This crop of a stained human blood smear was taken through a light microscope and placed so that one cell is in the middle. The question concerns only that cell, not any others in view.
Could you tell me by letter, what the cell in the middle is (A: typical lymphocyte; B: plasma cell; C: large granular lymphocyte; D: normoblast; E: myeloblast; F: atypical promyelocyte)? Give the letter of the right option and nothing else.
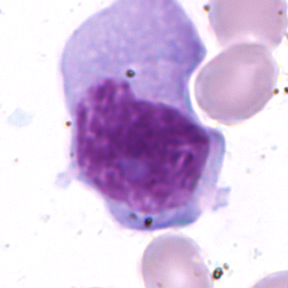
B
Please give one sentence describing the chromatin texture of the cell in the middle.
In this nucleus, the chromatin is arranged in coarse clumps.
